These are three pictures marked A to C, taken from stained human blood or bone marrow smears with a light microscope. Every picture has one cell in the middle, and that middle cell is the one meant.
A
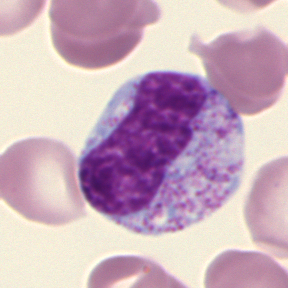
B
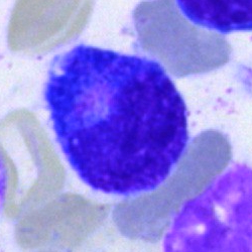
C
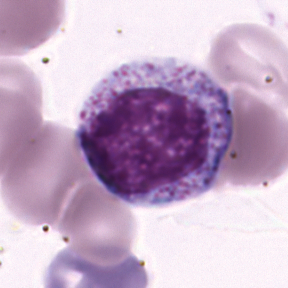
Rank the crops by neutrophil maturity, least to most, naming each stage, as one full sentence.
Least to most mature, the crops are crop B (a promyelocyte), crop C (a myelocyte) and crop A (a band neutrophil).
